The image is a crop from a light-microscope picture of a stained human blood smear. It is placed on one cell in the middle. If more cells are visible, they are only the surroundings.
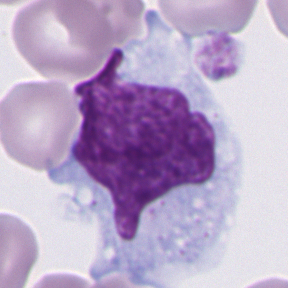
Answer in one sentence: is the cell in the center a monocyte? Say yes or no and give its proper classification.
Yes, it is a monocyte that is seen at the centre of the crop.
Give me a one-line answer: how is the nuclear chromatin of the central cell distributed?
The chromatin remains finely textured, with no coarse clumps to speak of.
